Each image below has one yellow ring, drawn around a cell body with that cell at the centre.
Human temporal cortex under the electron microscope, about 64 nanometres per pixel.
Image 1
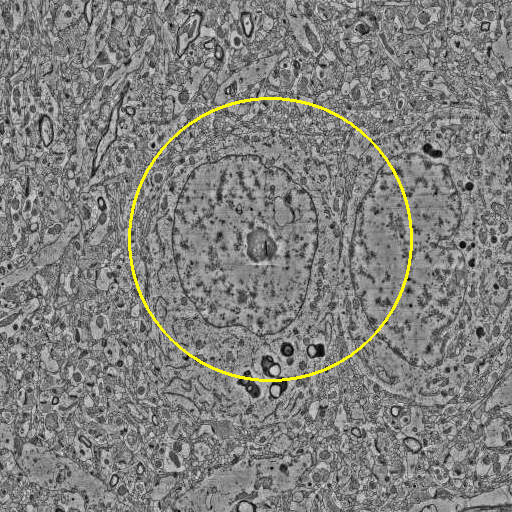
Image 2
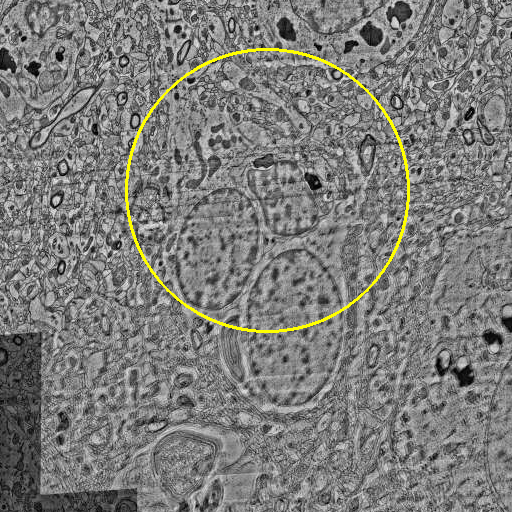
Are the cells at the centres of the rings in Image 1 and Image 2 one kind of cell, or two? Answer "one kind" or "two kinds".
two kinds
